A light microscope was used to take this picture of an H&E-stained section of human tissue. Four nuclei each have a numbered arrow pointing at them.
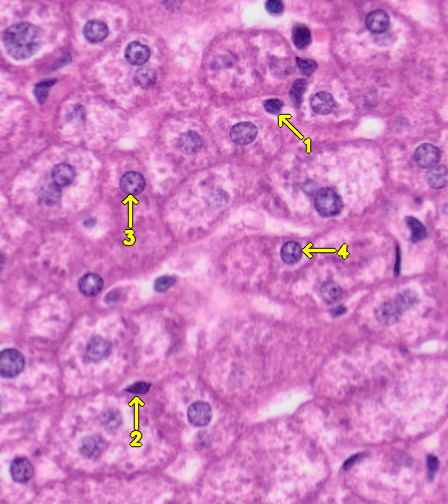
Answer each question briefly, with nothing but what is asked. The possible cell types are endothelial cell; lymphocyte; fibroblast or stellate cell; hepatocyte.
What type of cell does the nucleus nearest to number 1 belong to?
fibroblast or stellate cell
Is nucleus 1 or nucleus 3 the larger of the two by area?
3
